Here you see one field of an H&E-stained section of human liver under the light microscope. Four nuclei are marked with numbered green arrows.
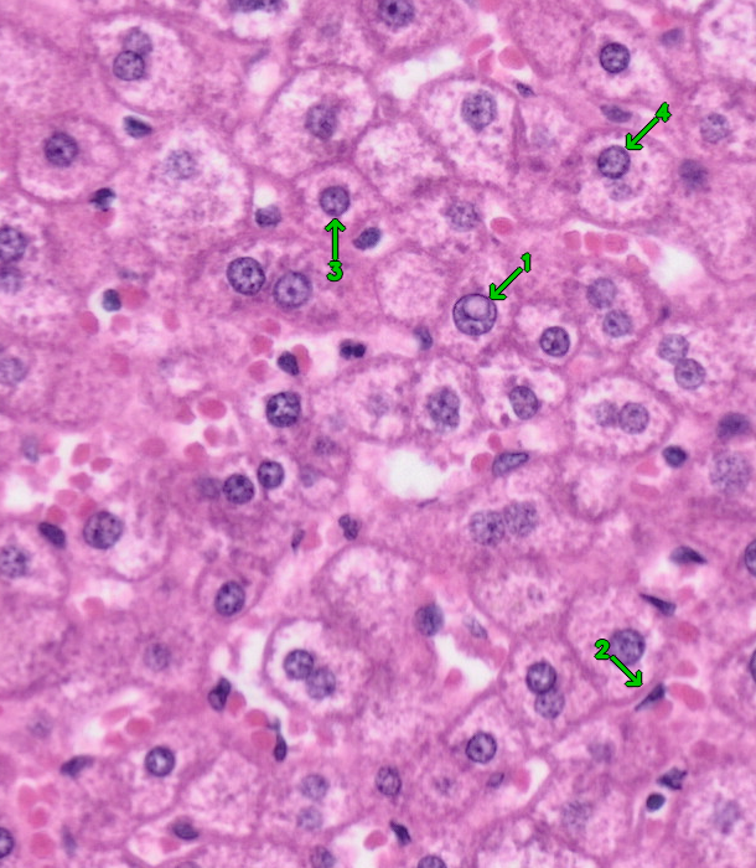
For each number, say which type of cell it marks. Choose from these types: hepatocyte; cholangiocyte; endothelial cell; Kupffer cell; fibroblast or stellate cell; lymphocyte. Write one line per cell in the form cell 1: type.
cell 1: hepatocyte
cell 2: endothelial cell
cell 3: hepatocyte
cell 4: hepatocyte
